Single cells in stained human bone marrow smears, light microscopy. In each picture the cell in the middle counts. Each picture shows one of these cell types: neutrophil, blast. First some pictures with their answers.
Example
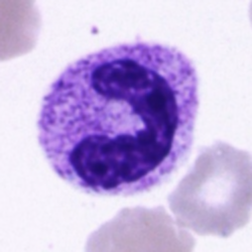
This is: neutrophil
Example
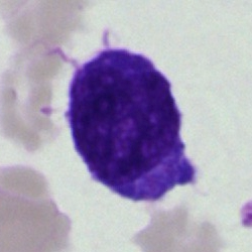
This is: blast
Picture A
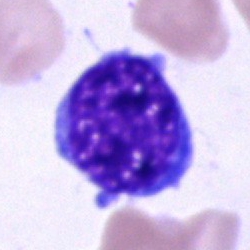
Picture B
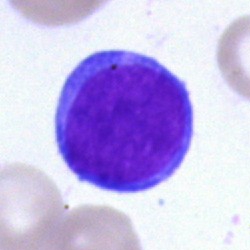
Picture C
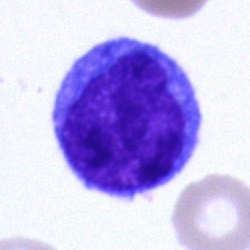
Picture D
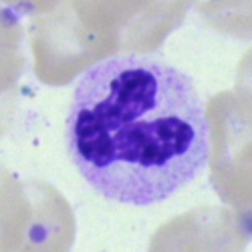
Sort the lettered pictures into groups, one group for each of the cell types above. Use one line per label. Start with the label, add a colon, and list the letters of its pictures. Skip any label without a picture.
neutrophil: D
blast: A, B, C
